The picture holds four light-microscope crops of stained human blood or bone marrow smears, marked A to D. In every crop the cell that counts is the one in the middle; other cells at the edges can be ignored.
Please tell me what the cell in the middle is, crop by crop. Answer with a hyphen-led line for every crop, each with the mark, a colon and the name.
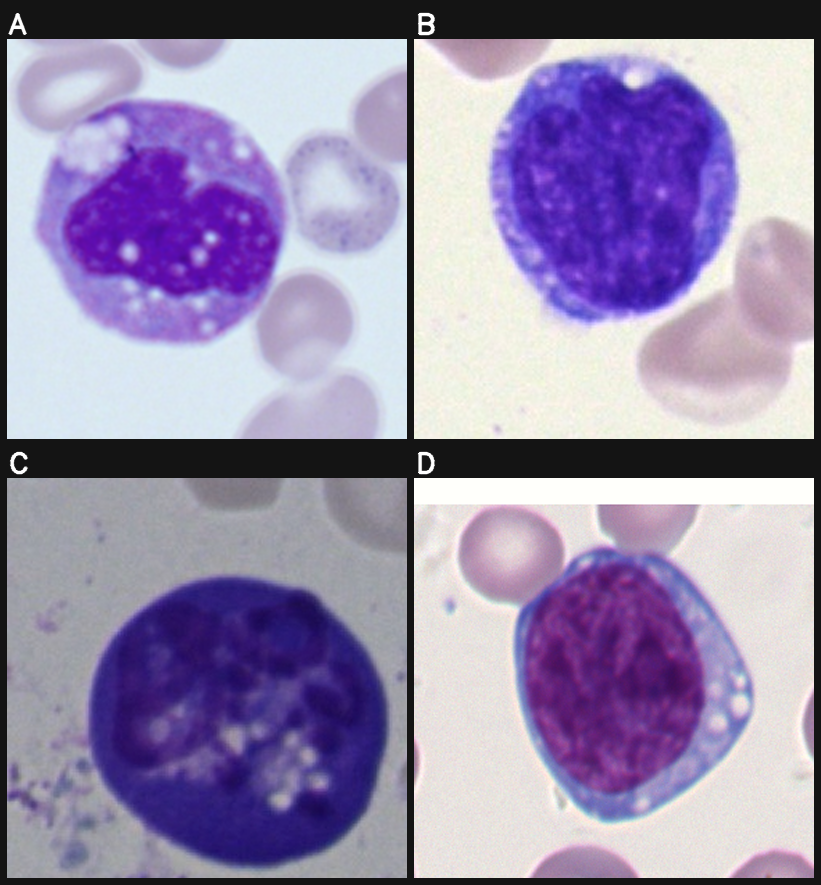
- A: monocyte
- B: monocyte
- C: blast
- D: blast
